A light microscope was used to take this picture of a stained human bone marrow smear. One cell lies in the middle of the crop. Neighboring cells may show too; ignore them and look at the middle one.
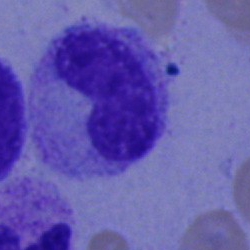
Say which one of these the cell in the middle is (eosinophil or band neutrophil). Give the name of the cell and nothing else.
band neutrophil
